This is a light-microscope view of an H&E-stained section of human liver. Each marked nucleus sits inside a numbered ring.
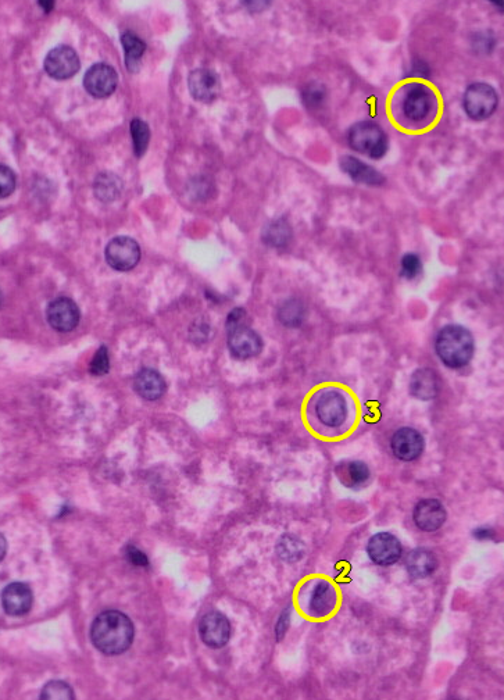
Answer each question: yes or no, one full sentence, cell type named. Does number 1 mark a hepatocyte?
Yes, the cell carrying label 1 is a hepatocyte.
